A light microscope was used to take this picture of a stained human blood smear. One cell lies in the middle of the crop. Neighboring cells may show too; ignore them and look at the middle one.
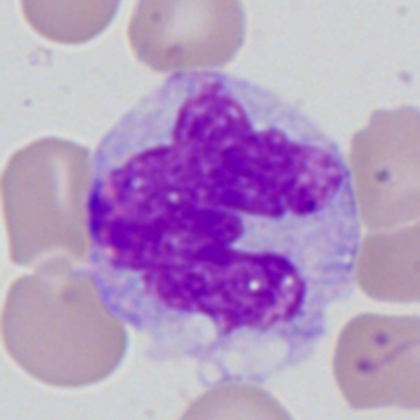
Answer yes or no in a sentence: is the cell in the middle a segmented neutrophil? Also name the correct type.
No, the cell at the centre is a monocyte, which rules out a segmented neutrophil.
